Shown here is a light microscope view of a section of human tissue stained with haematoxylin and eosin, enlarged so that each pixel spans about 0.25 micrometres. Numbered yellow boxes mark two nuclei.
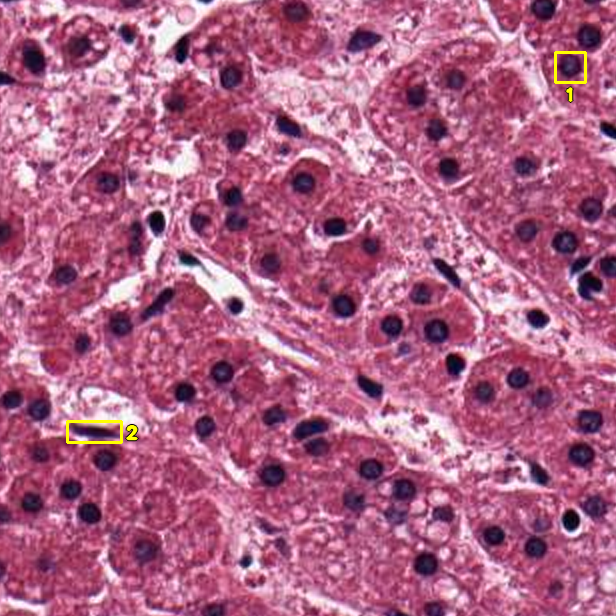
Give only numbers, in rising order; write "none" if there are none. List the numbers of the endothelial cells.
2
